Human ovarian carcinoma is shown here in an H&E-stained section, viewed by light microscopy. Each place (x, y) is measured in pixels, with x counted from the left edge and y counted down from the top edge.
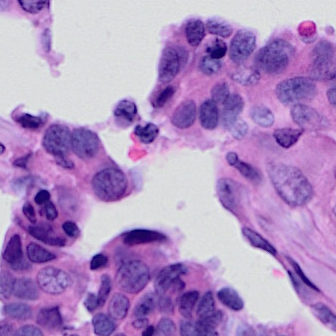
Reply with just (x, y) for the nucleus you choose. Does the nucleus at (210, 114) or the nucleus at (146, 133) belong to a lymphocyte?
(146, 133)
